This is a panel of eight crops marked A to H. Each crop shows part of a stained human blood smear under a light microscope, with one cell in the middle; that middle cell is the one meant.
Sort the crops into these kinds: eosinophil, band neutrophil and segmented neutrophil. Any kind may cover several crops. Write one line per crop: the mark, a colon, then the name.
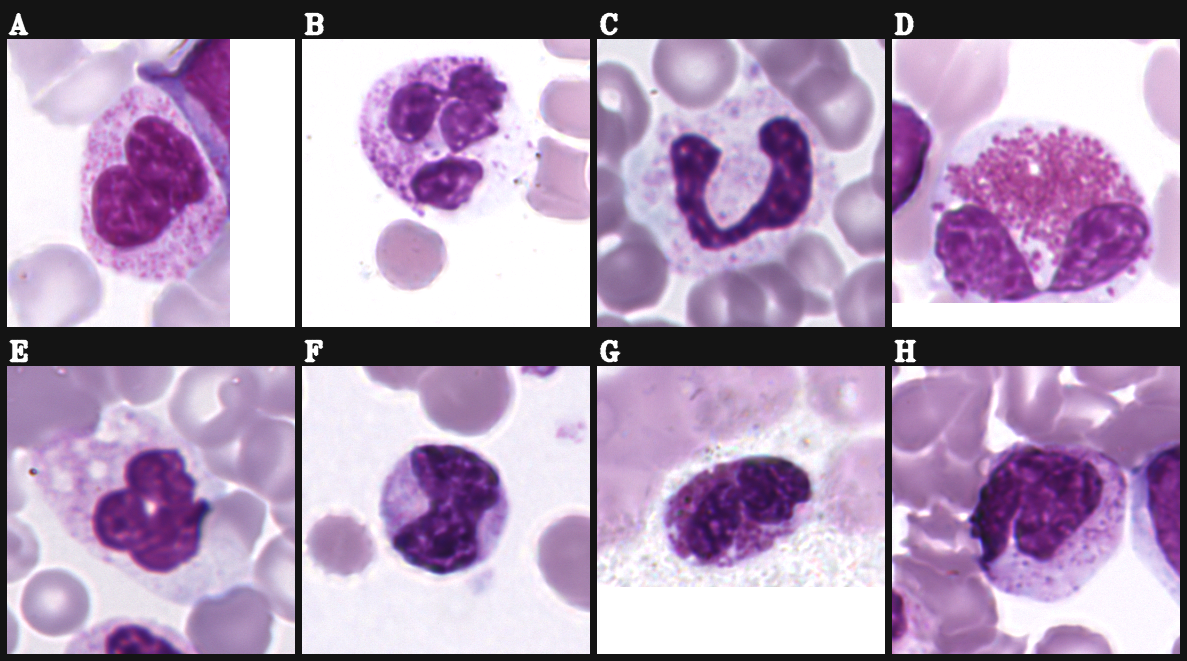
A: band neutrophil
B: segmented neutrophil
C: segmented neutrophil
D: eosinophil
E: segmented neutrophil
F: band neutrophil
G: eosinophil
H: band neutrophil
